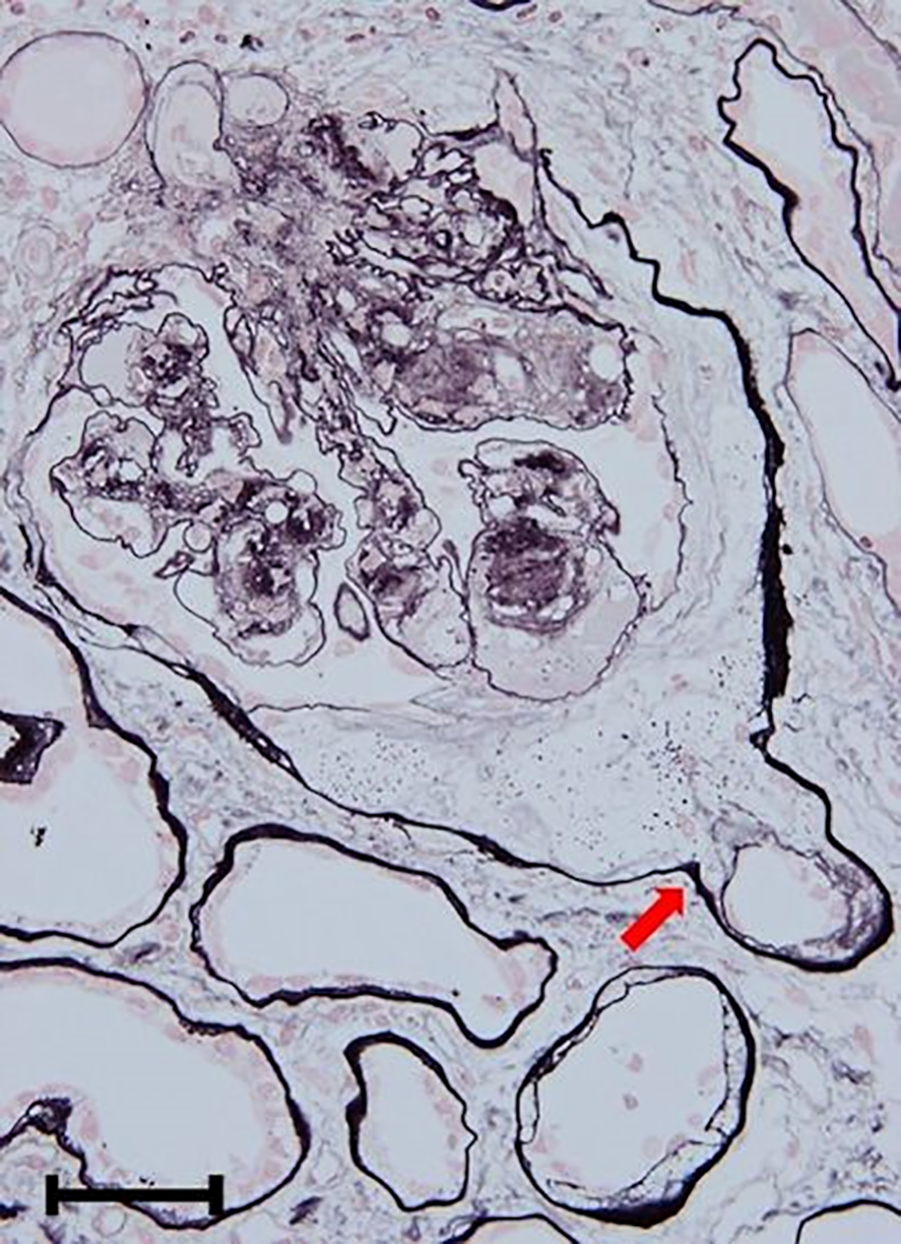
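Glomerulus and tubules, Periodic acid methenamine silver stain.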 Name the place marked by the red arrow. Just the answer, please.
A: Glomerulotubular junction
